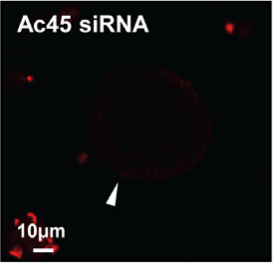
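A large, rounded osteoclast occupies the centre of the field, seen only as a faint, dim red outline against a dark background. Its interior shows almost no red puncta and no larger bright red bodies. A white arrowhead points to its lower edge. A few small, intensely red cells lie apart from it near the margins of the field.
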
